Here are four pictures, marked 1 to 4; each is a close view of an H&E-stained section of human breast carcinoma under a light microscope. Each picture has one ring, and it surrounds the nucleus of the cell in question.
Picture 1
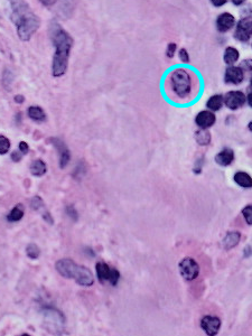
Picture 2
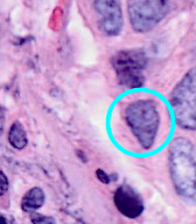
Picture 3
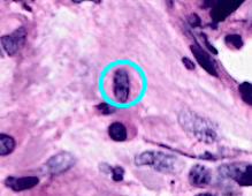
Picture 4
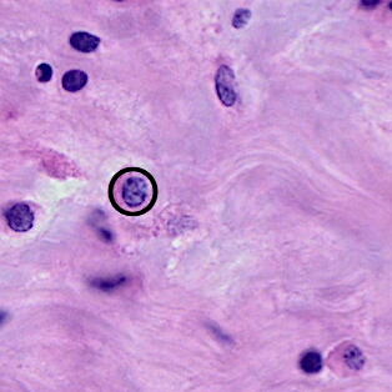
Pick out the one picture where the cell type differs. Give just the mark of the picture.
2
